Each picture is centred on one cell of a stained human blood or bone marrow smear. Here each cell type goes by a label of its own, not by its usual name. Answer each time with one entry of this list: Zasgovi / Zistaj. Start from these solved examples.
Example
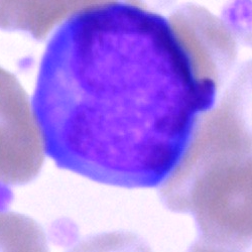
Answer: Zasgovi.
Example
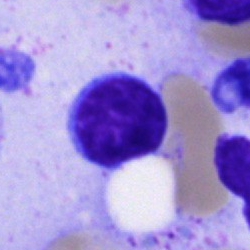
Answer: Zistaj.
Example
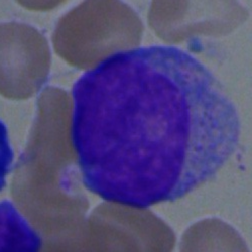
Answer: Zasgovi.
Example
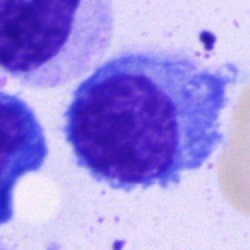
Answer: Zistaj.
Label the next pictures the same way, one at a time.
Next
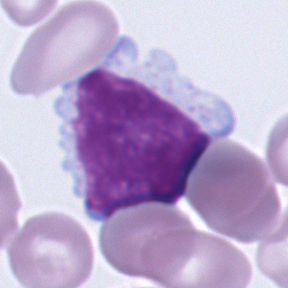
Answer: Zistaj.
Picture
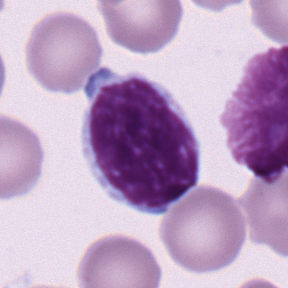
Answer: Zistaj.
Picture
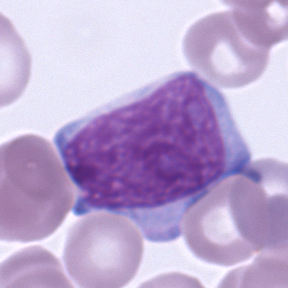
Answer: Zasgovi.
